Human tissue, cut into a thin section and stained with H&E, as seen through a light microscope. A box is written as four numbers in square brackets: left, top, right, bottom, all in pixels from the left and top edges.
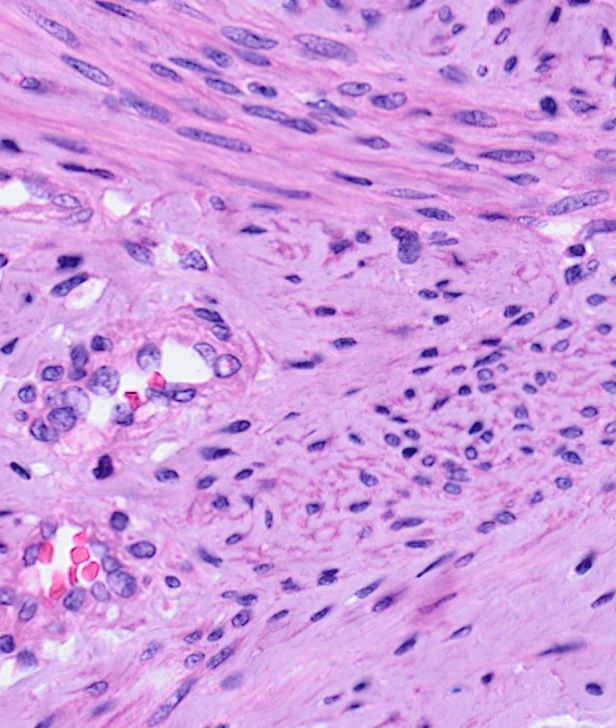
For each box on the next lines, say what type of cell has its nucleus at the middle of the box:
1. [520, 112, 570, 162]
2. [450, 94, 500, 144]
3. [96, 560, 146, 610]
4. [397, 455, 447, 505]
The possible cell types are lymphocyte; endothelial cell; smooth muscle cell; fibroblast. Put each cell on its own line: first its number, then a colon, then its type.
1: smooth muscle cell
2: smooth muscle cell
3: endothelial cell
4: smooth muscle cell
